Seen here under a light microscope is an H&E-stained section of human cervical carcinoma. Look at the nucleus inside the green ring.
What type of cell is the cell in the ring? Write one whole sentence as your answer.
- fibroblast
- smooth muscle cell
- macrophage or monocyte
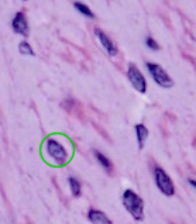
As for its identity, the cell in the ring is a smooth muscle cell.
